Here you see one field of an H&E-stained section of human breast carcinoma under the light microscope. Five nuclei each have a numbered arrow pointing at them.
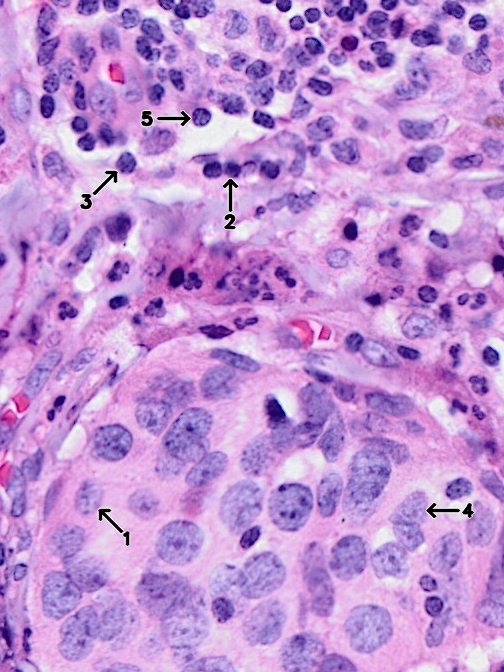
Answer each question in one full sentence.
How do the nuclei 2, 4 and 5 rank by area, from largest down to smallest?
From largest to smallest, the order is 4, 5, 2.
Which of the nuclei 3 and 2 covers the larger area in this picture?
The larger nucleus is 3, at roughly 1.5 times the area of 2.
